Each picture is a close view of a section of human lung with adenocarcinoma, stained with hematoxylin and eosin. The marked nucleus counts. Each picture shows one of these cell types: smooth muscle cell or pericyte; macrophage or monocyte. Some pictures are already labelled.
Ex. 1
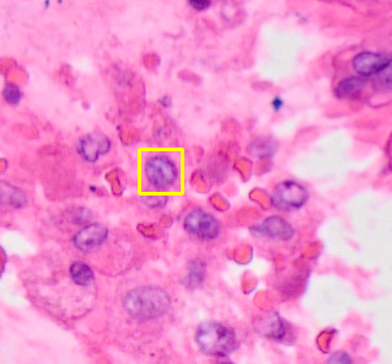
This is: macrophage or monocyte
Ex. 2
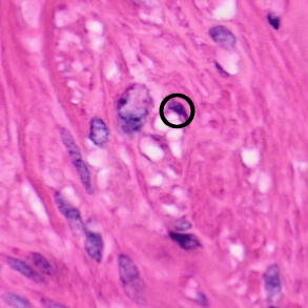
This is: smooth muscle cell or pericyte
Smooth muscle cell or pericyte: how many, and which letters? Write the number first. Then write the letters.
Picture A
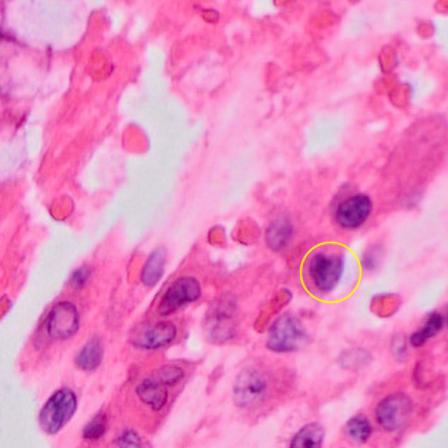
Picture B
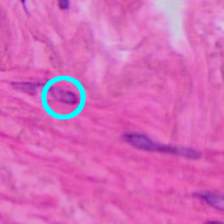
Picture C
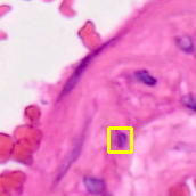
2: B, C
